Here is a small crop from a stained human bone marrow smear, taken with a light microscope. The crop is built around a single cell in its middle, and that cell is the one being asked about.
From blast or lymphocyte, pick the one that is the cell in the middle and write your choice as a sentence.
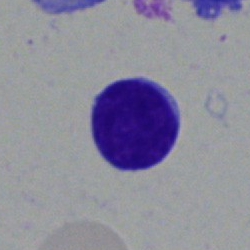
The centrally placed cell is classified as a lymphocyte.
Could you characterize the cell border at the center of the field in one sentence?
Around its whole circumference the outline stays smooth, free of projections.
